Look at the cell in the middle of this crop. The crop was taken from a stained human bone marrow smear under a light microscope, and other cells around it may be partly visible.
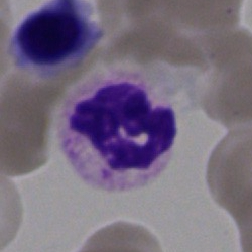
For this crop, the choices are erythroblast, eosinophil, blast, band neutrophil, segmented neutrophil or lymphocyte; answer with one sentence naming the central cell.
Seen at the centre of the crop is a segmented neutrophil.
